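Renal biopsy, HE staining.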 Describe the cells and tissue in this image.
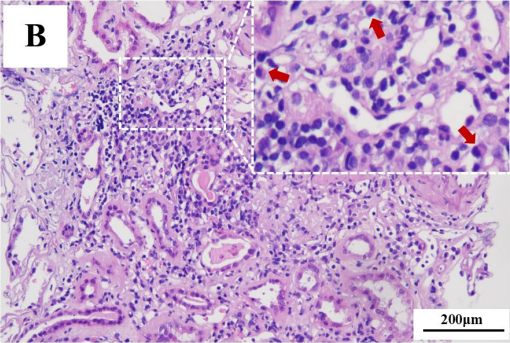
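Between kidney tubules lies a dense infiltrate of small round cells with dark nuclei and scant cytoplasm, mixed with larger cells whose round nuclei sit off-center in pink cytoplasm. The small cells are lymphocytes and the larger eccentric-nucleated cells are plasma cells, infiltrating the interstitium.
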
